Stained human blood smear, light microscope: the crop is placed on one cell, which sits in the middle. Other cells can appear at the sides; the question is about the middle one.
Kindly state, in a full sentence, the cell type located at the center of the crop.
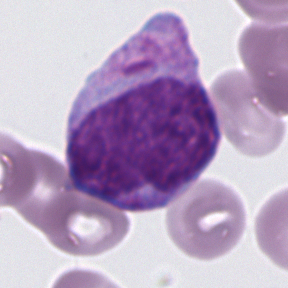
The middle position in this crop is taken by an atypical promyelocyte.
